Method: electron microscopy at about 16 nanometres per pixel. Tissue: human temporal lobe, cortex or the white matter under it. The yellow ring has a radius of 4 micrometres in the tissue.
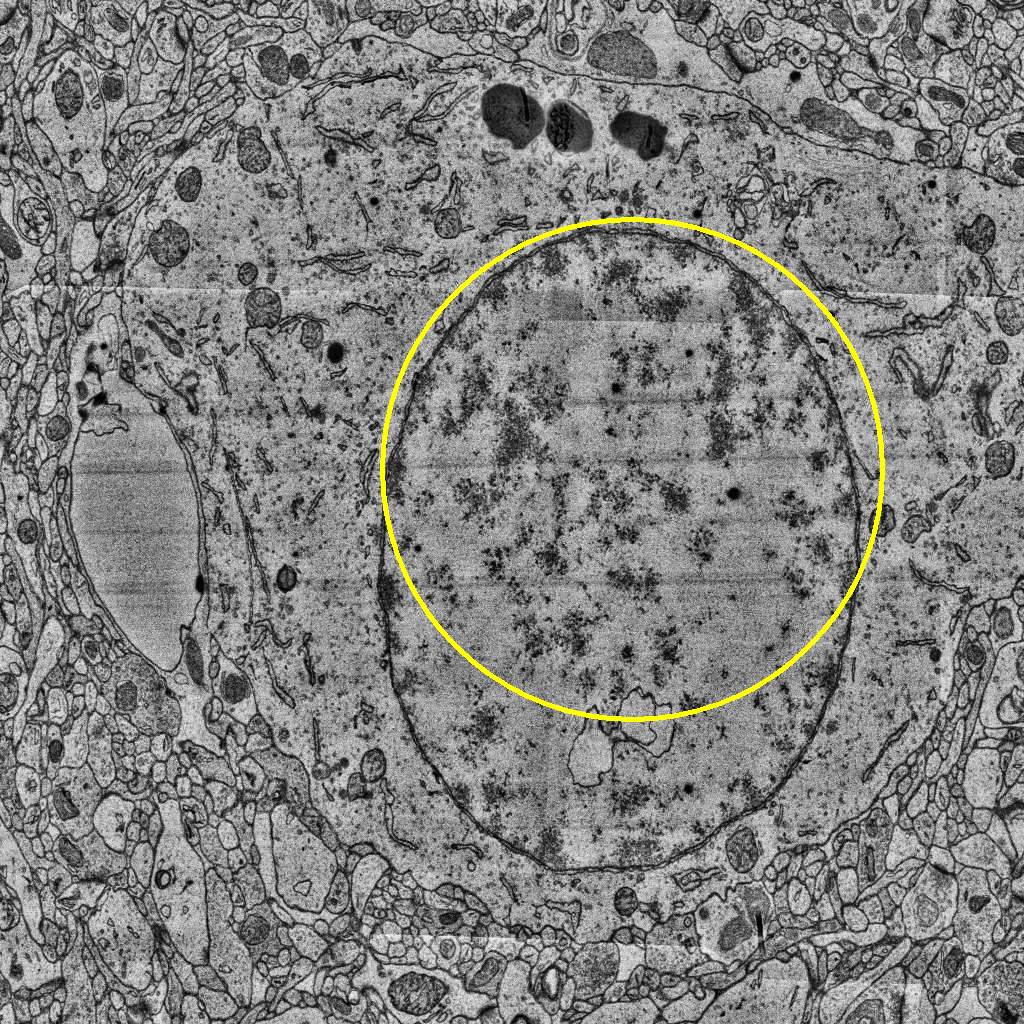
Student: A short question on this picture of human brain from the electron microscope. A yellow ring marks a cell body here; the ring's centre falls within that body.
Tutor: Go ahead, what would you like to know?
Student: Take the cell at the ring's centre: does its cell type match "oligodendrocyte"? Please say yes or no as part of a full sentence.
No, the cell found at the ring's centre in the picture has another cell type.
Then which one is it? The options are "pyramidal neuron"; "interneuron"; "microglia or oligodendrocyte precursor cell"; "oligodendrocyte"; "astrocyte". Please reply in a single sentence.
Instead, the cell at the centre of the yellow ring is a pyramidal neuron.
